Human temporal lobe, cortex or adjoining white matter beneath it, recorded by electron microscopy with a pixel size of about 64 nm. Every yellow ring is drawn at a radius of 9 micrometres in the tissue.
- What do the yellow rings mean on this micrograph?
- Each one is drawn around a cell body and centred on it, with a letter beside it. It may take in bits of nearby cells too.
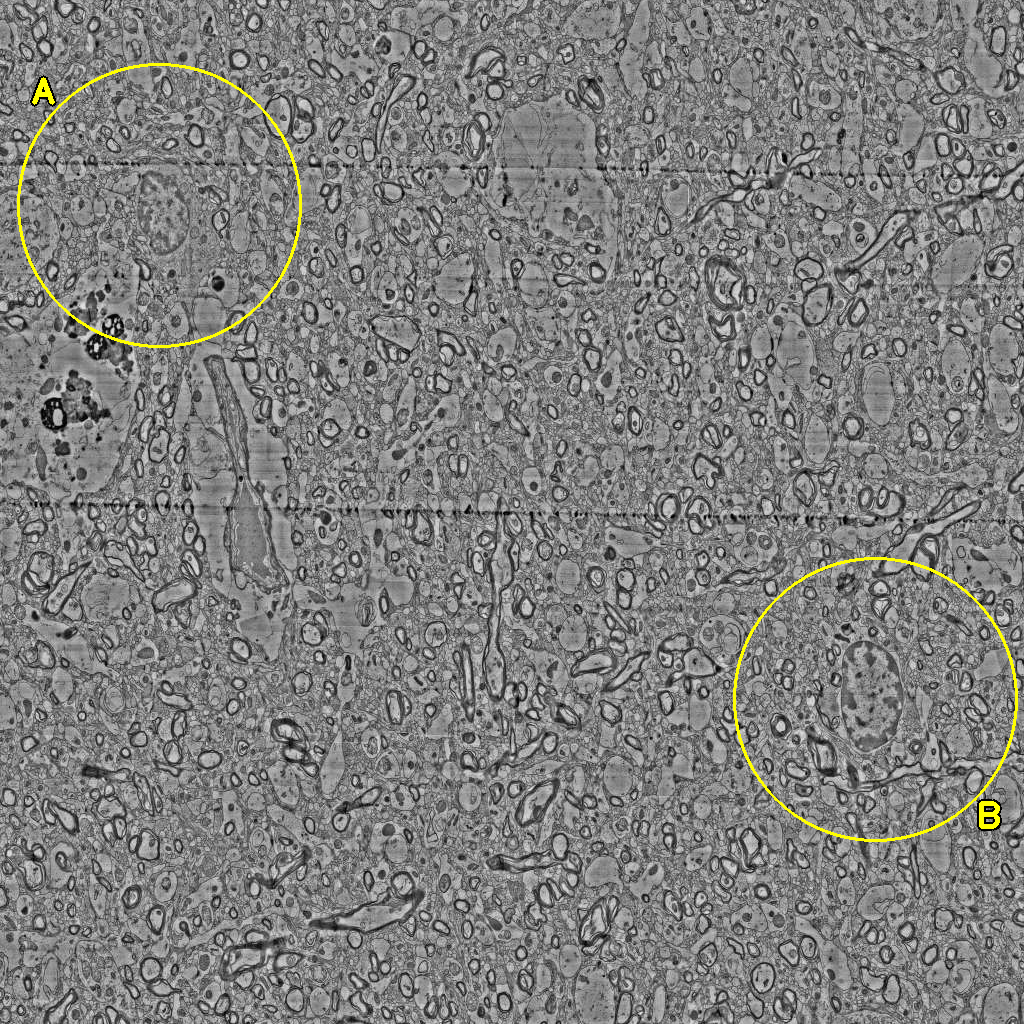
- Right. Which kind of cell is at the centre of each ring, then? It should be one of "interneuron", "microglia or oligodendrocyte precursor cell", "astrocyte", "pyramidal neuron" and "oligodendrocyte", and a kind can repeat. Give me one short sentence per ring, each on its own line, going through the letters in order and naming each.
Ring A circles the cell body of an oligodendrocyte.
Ring B circles the cell body of a microglial cell or oligodendrocyte precursor cell.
